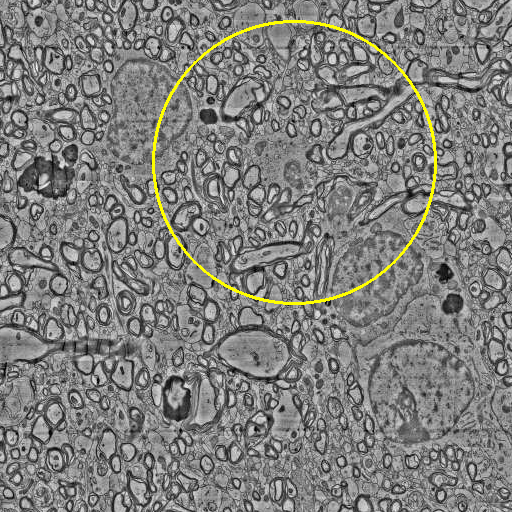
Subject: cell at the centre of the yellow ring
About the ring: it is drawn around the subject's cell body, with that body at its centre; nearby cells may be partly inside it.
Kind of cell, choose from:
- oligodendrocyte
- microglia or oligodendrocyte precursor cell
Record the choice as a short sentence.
The subject cell is an oligodendrocyte.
